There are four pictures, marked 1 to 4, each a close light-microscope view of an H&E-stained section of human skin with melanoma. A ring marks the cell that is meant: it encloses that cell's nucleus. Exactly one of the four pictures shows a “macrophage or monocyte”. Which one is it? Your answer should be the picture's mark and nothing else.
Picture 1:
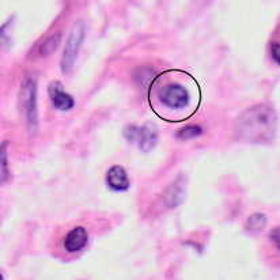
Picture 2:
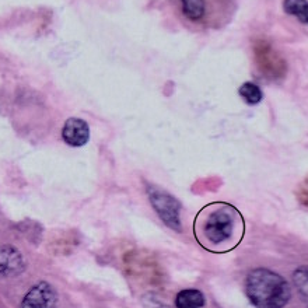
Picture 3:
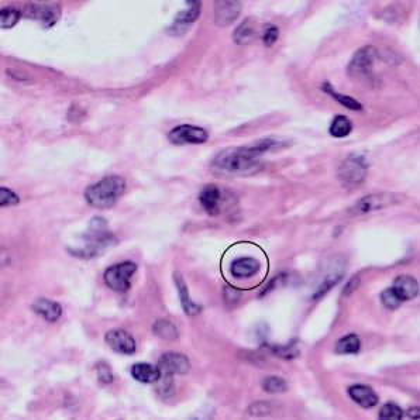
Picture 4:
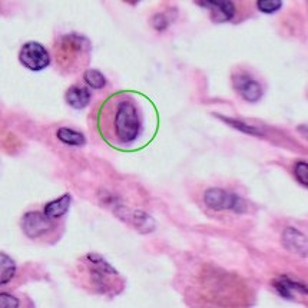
4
